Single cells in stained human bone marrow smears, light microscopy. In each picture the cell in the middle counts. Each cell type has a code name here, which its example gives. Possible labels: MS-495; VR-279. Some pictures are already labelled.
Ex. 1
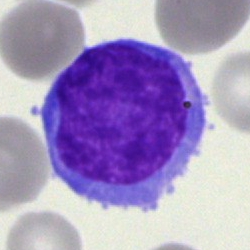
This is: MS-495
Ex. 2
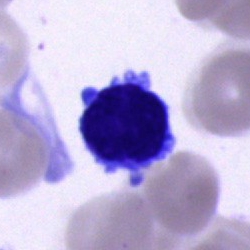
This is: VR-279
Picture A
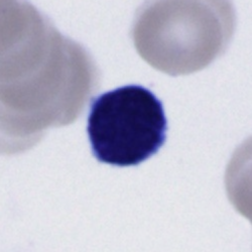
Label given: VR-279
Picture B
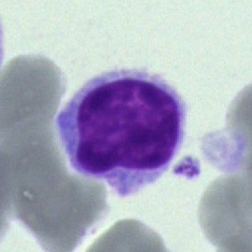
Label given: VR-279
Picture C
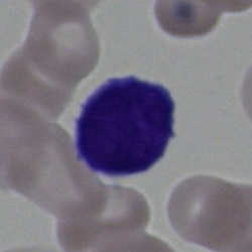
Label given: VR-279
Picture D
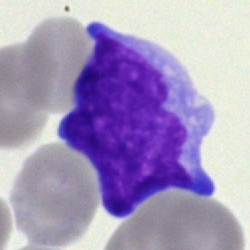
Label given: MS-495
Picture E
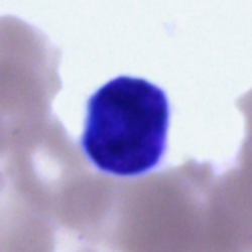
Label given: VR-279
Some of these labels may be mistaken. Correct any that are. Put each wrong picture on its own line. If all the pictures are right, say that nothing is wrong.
All labels are correct.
